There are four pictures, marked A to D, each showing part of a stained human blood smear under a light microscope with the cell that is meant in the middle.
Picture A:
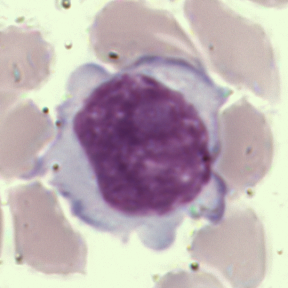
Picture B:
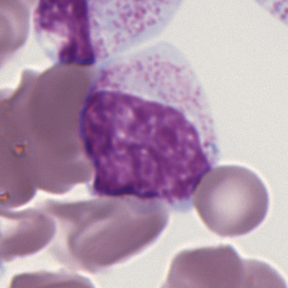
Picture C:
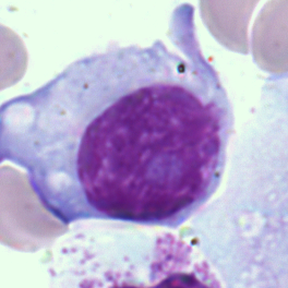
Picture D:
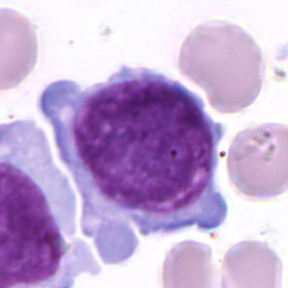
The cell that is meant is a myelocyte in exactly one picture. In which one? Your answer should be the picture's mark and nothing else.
B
